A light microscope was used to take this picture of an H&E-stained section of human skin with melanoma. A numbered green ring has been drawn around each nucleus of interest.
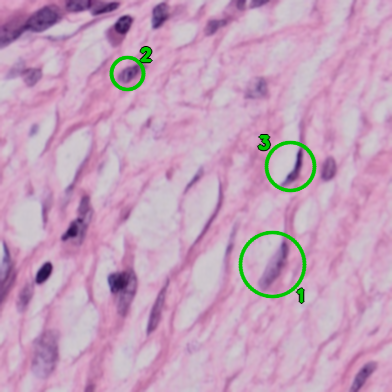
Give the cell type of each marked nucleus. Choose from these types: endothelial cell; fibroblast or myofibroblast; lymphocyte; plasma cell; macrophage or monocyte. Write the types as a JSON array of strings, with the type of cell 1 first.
["fibroblast or myofibroblast", "macrophage or monocyte", "fibroblast or myofibroblast"]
